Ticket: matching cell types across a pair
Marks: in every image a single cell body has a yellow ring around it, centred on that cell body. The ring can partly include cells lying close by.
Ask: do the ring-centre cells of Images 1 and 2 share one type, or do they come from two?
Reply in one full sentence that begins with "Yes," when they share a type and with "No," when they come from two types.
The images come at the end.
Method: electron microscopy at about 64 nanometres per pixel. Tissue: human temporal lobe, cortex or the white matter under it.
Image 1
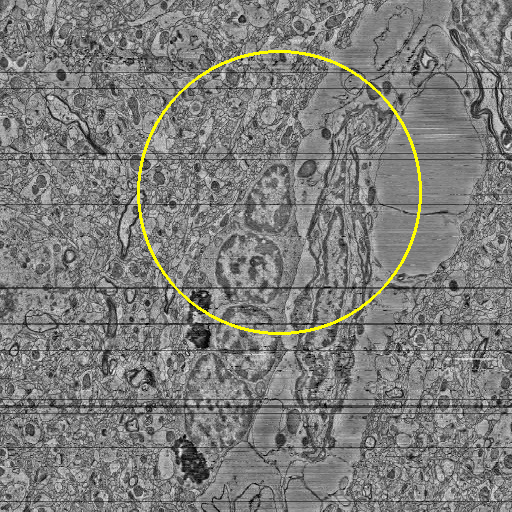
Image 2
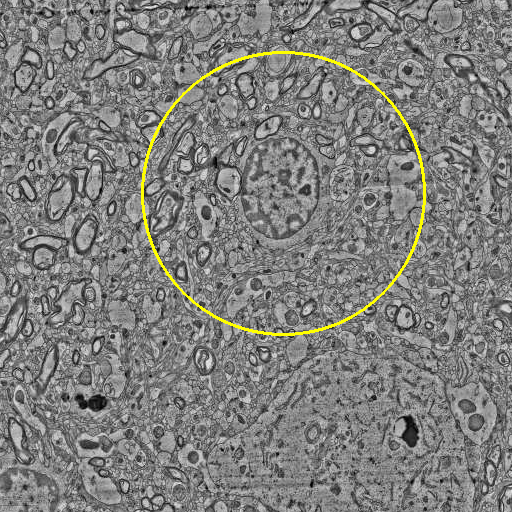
Yes, the cells in the centres of the rings in Image 1 and Image 2 share one type.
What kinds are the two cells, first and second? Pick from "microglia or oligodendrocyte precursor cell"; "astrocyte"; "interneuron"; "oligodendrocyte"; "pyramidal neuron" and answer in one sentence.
Each of the two rings is centred on an oligodendrocyte.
